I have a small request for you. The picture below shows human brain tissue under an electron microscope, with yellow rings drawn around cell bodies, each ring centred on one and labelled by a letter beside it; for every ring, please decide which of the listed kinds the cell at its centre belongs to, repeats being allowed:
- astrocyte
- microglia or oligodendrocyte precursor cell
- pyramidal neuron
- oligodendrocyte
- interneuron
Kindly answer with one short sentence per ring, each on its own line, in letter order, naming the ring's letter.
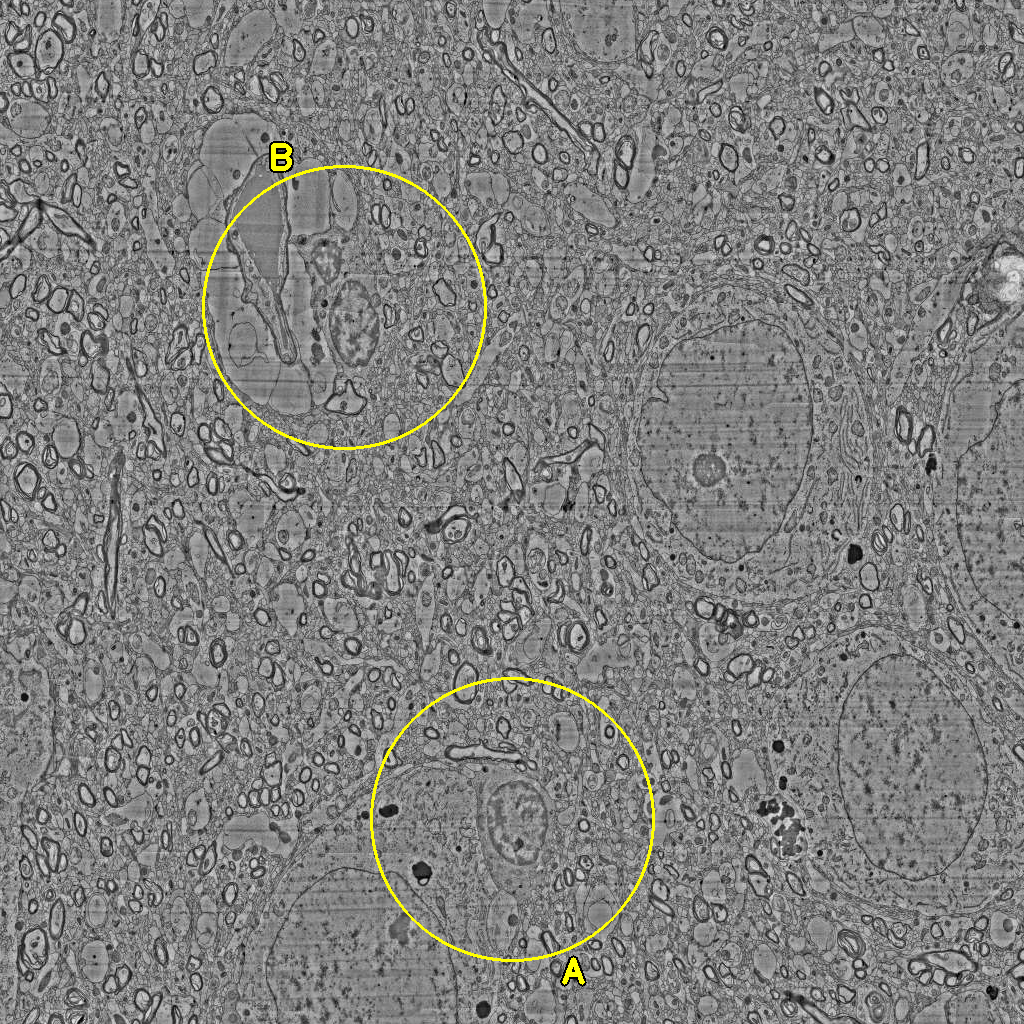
Ring A shows an oligodendrocyte at its centre.
Ring B shows an oligodendrocyte at its centre.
